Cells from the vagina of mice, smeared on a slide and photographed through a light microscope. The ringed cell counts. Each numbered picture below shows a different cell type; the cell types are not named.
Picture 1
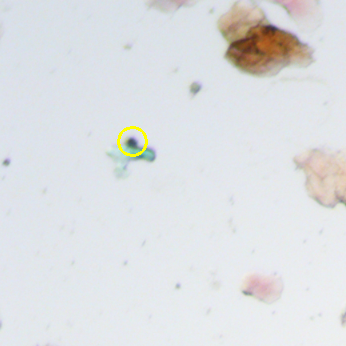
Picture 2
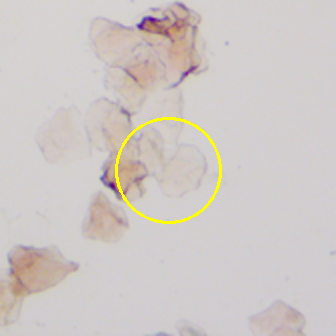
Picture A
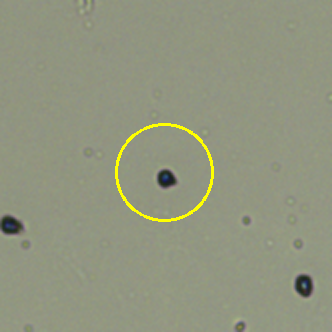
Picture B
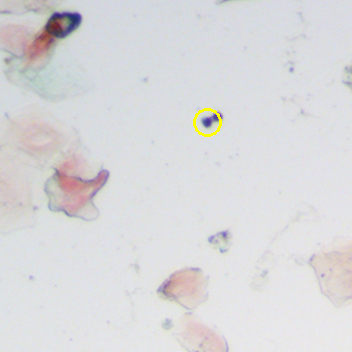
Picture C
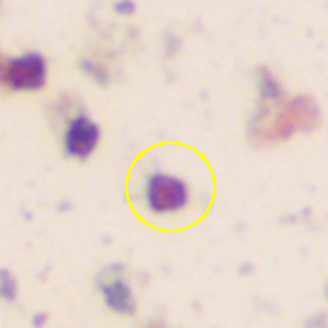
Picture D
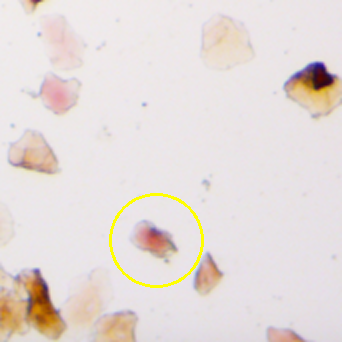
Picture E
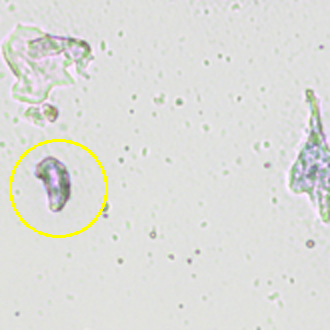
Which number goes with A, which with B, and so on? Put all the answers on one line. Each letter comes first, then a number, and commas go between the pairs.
A 1, B 1, C 1, D 2, E 2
